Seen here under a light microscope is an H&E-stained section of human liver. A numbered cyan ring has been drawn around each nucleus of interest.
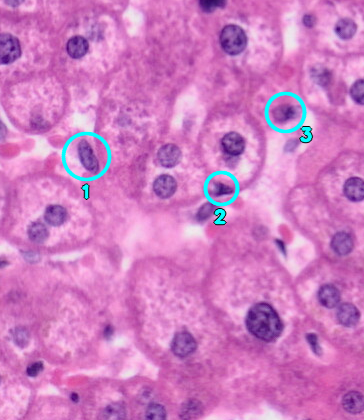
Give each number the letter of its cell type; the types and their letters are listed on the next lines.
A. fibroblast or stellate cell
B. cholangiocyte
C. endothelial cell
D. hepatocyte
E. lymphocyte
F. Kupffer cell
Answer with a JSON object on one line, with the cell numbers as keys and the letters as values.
{"1": "F", "2": "A", "3": "F"}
